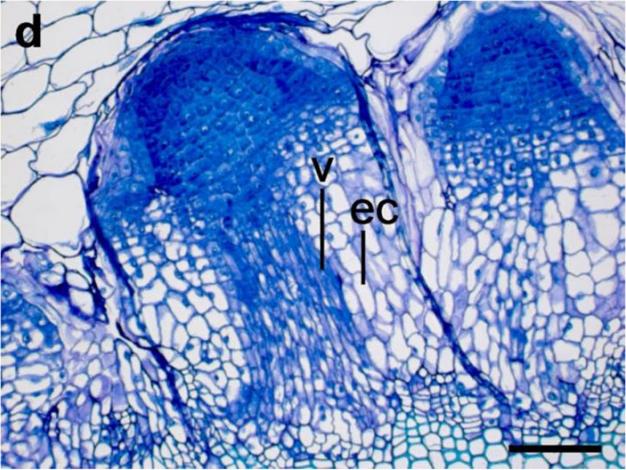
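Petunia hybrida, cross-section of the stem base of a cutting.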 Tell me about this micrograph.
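Two young roots are seen here, growing out through the stem tissue. Each has a rounded tip packed with small, densely stained dark-blue cells, which are the dividing cells of the root tip. A darker border outlines each root where it presses against the large, clear cells of the surrounding stem tissue.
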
